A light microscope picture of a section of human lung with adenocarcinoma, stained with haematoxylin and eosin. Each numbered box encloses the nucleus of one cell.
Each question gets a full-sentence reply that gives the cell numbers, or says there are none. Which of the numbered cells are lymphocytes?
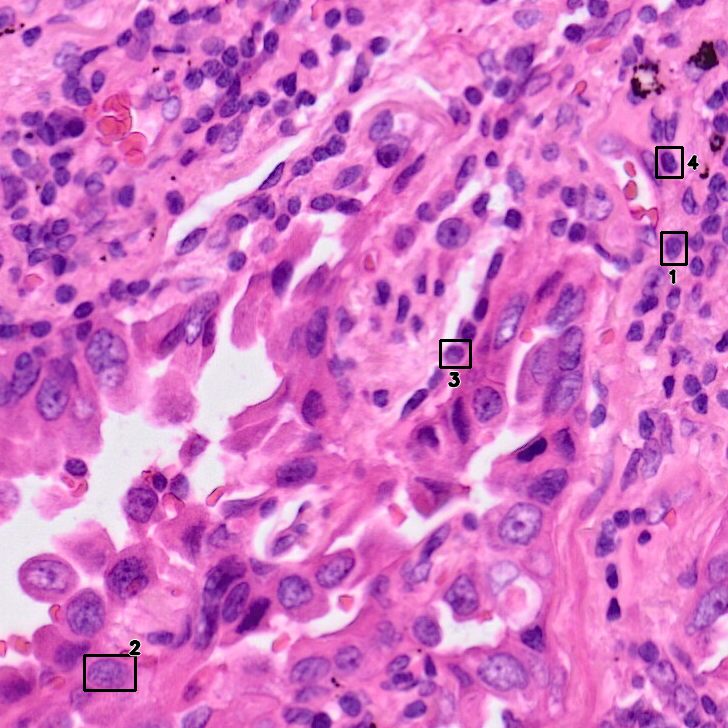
By cell type, the cells numbered 1, 3 and 4 are lymphocytes.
